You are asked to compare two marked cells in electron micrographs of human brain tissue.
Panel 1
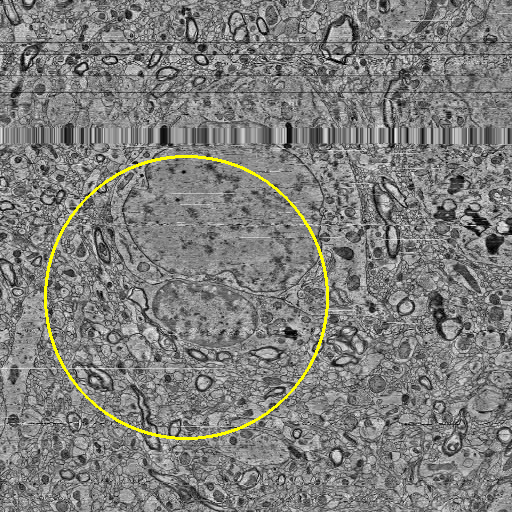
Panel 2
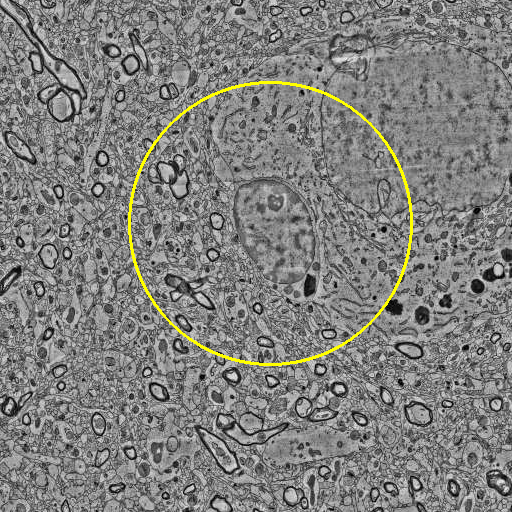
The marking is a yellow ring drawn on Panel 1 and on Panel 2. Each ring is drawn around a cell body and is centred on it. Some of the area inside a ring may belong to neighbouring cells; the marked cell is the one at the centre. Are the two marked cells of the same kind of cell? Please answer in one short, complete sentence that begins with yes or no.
Yes, the two marked cells are of the same kind.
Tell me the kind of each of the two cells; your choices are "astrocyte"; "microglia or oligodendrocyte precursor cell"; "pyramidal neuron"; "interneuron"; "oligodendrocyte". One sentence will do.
The first and the second cell are each an oligodendrocyte.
